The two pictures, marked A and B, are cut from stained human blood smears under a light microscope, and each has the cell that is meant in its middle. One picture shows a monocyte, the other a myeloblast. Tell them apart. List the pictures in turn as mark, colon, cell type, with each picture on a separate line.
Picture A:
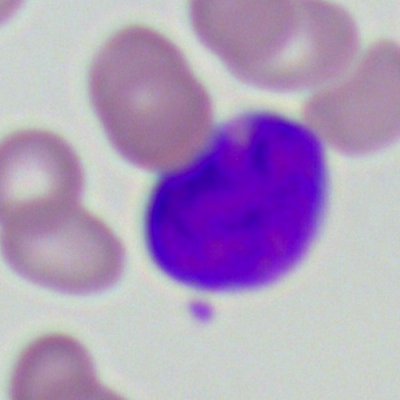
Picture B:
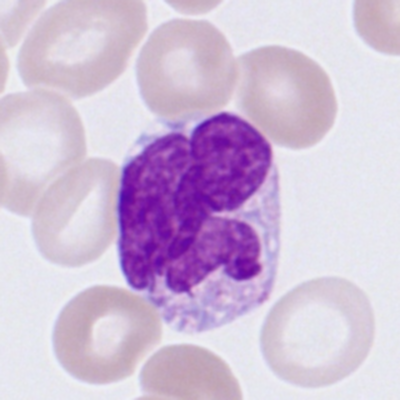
A: myeloblast
B: monocyte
